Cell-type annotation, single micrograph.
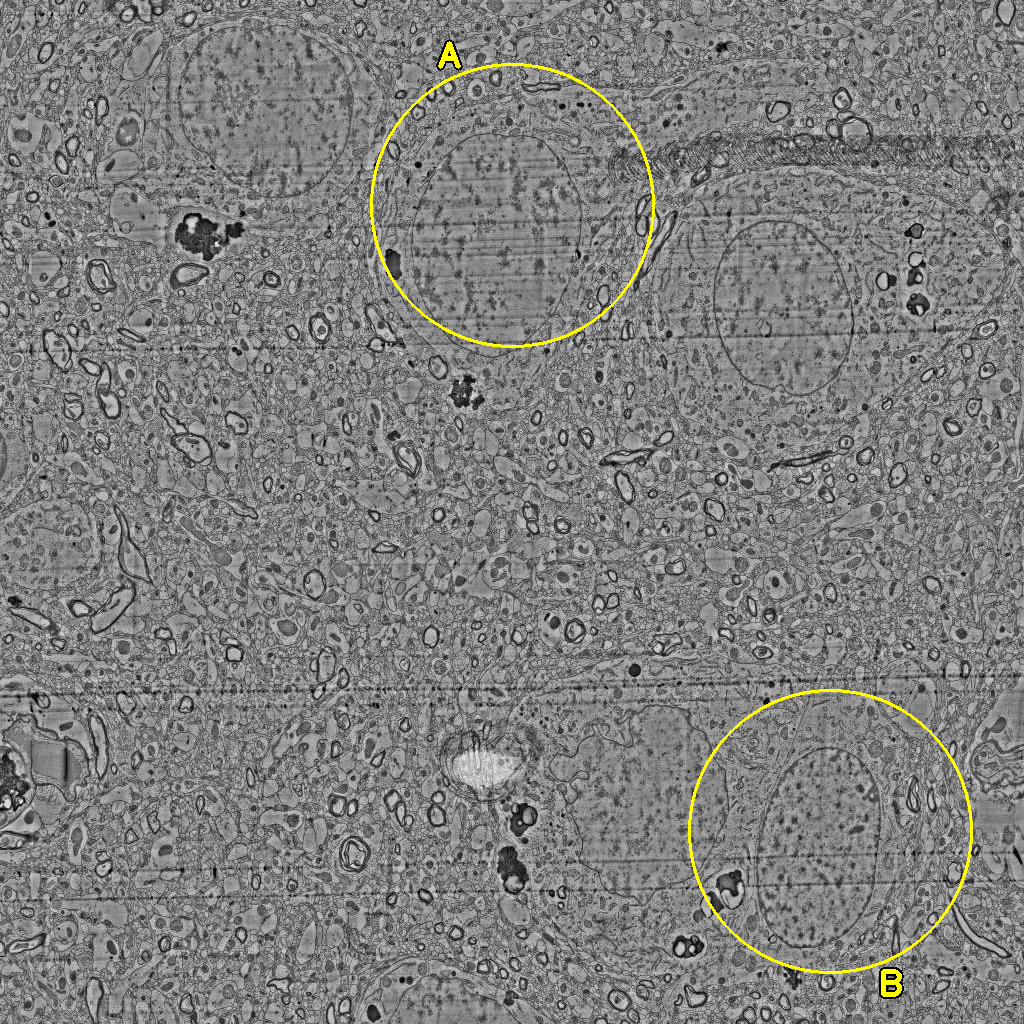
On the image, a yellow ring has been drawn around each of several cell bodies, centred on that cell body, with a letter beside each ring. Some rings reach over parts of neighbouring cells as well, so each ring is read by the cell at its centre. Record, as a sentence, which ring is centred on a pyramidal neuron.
Ring A is centred on it.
